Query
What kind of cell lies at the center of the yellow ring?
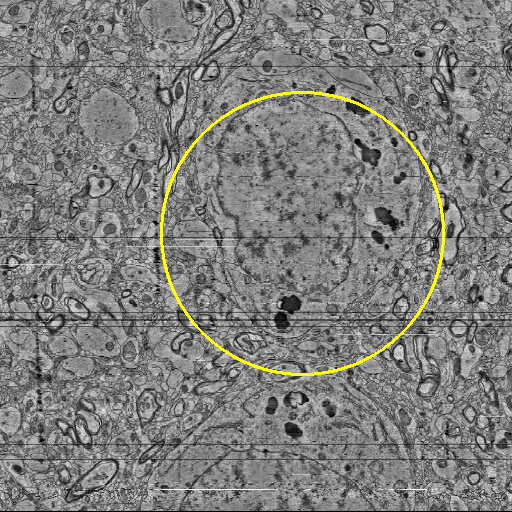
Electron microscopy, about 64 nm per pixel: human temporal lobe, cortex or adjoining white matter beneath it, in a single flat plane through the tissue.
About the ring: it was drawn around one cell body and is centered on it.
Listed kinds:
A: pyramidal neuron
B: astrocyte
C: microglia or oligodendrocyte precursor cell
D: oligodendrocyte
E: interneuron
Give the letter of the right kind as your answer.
E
